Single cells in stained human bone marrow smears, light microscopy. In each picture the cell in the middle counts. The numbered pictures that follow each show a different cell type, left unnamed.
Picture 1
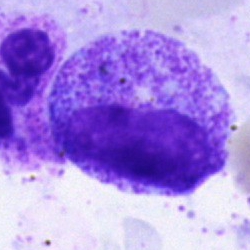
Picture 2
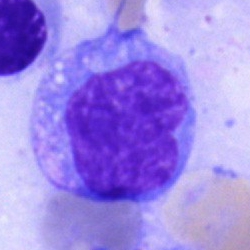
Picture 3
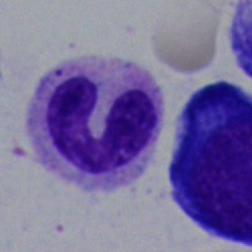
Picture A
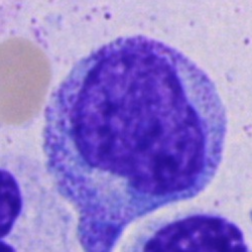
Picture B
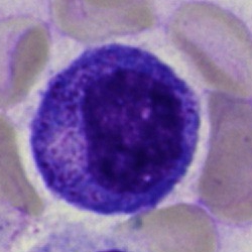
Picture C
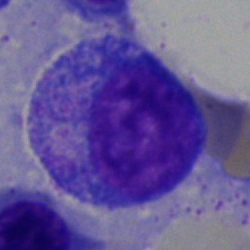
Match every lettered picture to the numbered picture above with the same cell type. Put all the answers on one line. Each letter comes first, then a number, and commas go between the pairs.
A 1, B 1, C 1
